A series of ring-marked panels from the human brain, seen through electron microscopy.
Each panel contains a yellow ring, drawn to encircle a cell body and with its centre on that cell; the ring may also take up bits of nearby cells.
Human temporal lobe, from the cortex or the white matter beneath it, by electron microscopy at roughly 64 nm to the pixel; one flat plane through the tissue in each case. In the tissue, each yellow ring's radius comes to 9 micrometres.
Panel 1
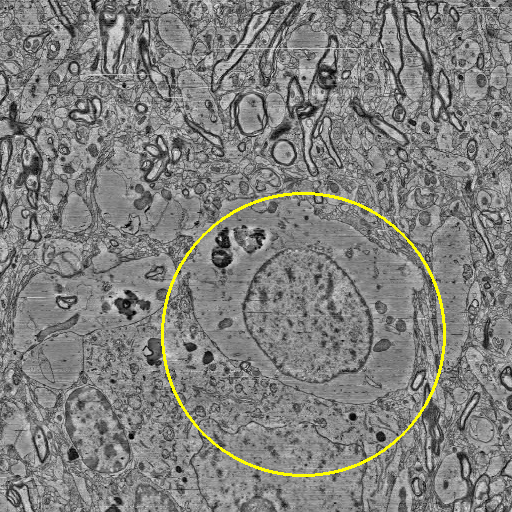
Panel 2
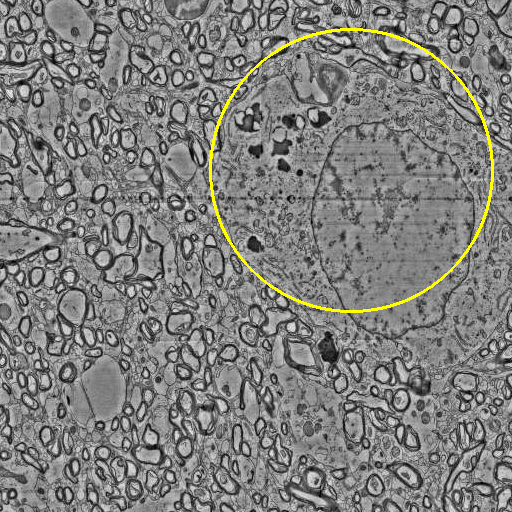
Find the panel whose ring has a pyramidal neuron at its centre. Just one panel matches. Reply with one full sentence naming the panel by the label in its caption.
The sought cell lies at the centre of the ring shown in Panel 2.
